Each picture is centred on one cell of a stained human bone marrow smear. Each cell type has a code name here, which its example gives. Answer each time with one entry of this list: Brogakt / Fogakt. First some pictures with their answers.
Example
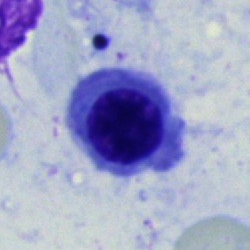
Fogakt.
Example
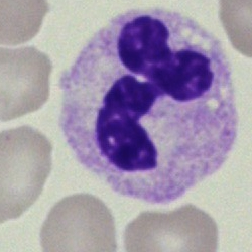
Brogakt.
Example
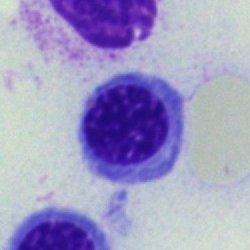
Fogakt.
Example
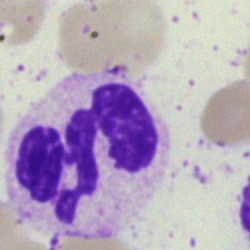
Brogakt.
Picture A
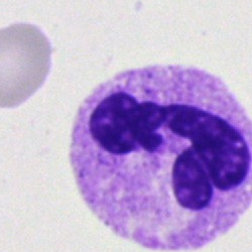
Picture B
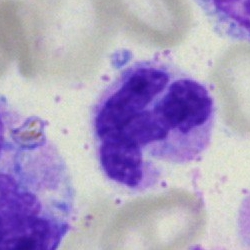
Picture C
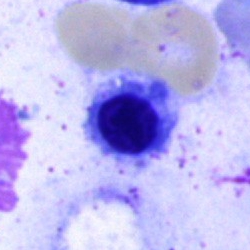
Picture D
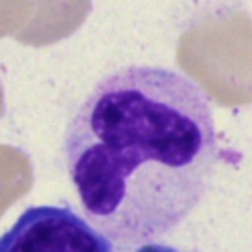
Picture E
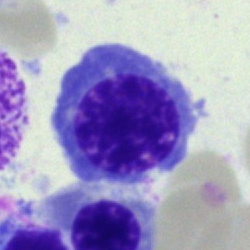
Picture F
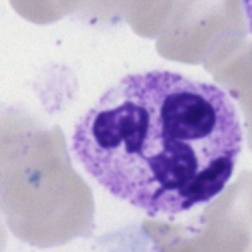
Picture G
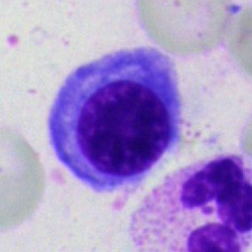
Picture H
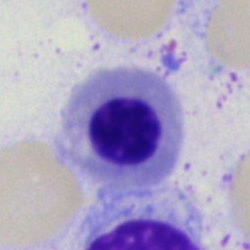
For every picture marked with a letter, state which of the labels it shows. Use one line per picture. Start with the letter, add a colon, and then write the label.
A: Brogakt.
B: Brogakt.
C: Fogakt.
D: Brogakt.
E: Fogakt.
F: Brogakt.
G: Fogakt.
H: Fogakt.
